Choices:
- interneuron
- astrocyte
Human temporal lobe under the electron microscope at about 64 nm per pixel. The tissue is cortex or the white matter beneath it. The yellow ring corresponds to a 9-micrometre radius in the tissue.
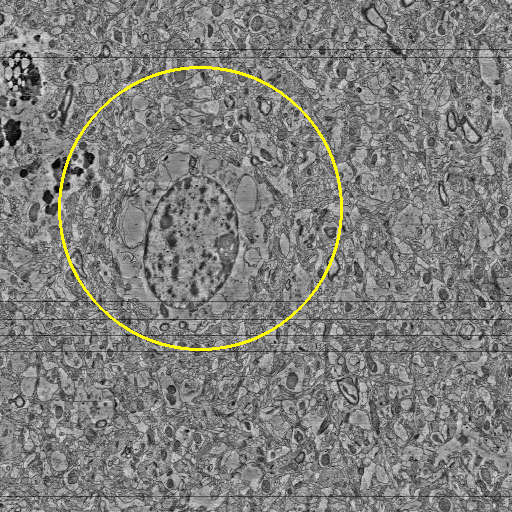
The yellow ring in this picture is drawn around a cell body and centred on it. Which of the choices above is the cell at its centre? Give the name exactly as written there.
astrocyte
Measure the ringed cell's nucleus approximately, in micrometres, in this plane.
In this plane, approximately 9 by 6 micrometers, and clearly longer than it is wide.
